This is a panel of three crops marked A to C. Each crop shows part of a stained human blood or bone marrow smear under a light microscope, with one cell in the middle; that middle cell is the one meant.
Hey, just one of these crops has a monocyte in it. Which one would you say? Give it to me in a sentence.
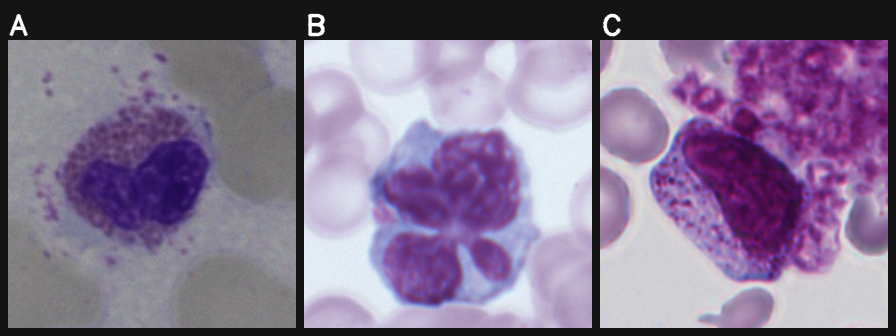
The one that shows a monocyte is crop B.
